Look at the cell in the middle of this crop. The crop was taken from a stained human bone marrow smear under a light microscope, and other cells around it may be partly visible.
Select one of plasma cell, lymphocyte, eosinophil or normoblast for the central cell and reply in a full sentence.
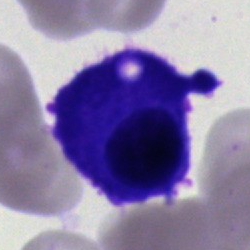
In this smear crop, the middle cell is a plasma cell.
